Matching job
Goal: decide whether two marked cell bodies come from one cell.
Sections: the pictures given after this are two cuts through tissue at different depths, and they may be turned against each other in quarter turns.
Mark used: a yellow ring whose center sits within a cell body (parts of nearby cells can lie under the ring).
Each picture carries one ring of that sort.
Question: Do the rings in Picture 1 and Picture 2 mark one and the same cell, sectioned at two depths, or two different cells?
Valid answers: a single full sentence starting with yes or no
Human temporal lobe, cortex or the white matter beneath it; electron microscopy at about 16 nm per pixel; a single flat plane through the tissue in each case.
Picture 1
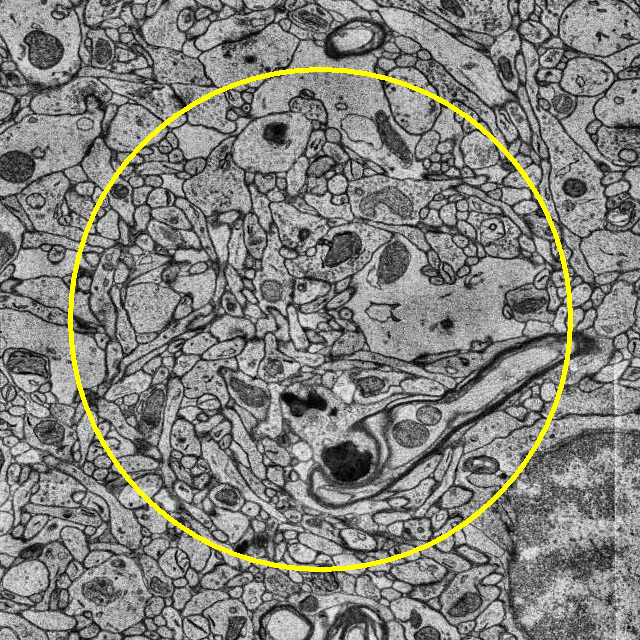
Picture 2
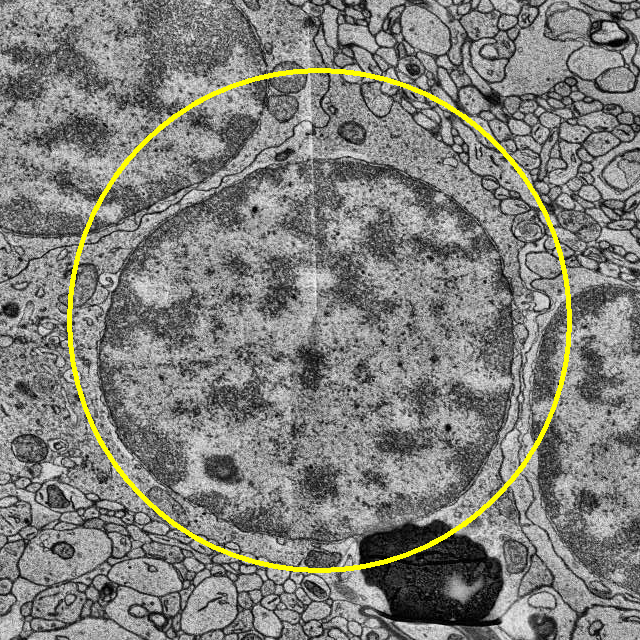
Yes, the cell marked in each ring is one and the same.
